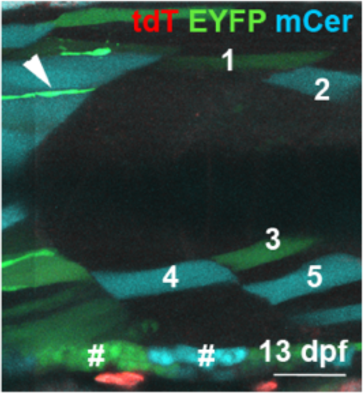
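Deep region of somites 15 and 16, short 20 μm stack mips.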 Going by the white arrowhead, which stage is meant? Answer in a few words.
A: nascent fibre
